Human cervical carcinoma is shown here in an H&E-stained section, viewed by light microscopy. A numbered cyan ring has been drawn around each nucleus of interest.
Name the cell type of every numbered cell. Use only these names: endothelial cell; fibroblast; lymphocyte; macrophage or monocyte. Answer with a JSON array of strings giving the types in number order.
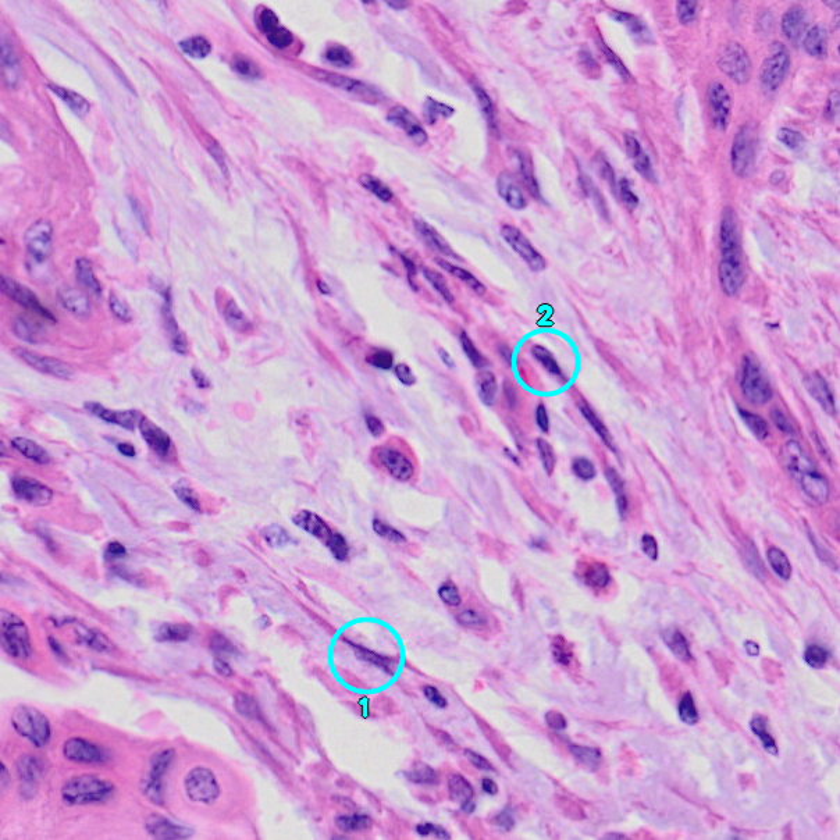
["fibroblast", "lymphocyte"]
